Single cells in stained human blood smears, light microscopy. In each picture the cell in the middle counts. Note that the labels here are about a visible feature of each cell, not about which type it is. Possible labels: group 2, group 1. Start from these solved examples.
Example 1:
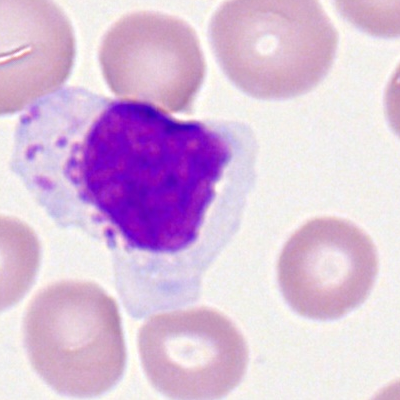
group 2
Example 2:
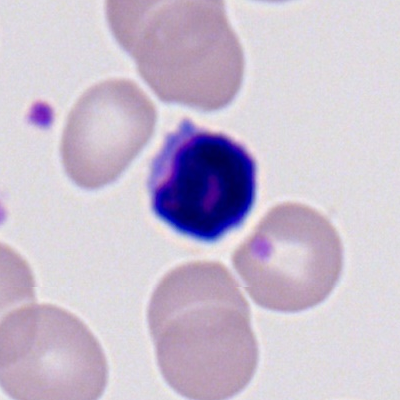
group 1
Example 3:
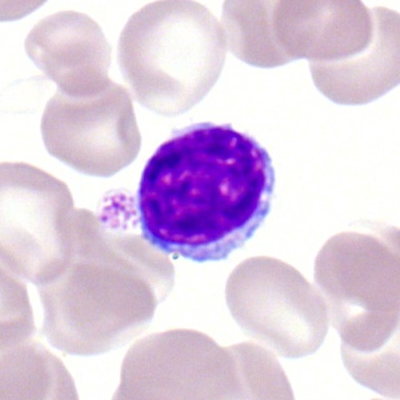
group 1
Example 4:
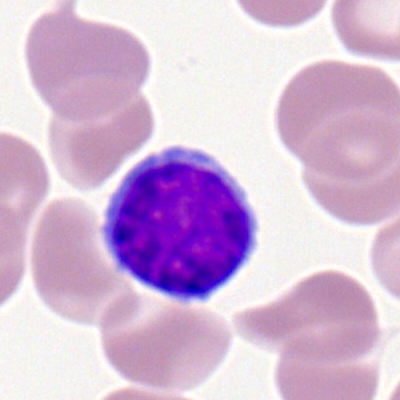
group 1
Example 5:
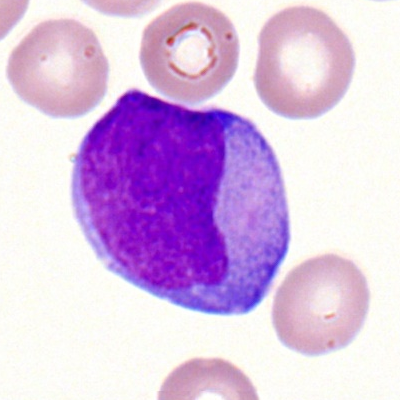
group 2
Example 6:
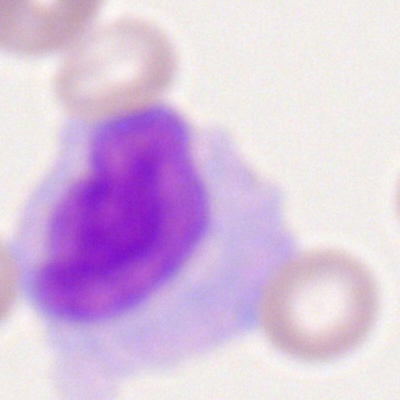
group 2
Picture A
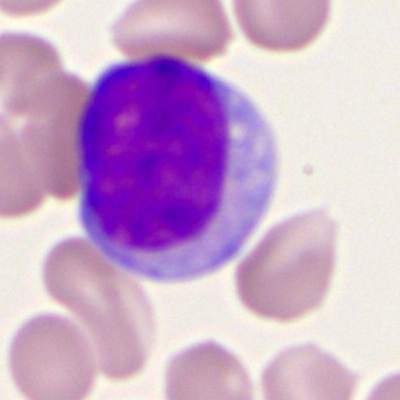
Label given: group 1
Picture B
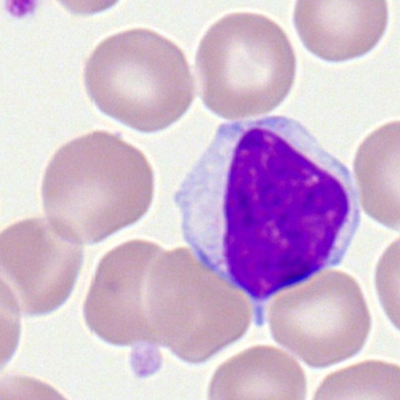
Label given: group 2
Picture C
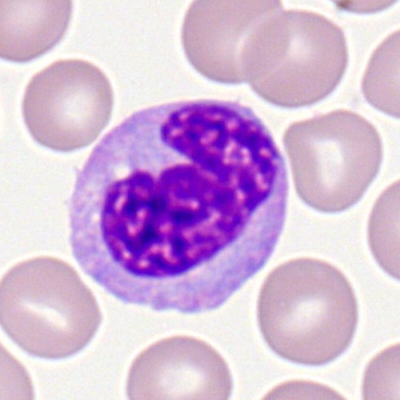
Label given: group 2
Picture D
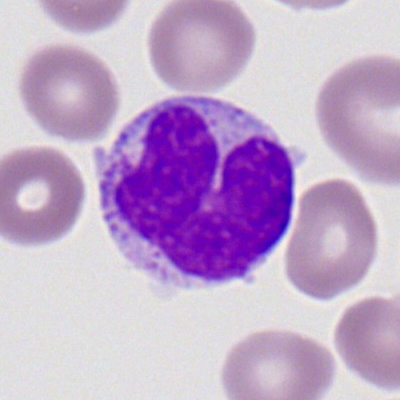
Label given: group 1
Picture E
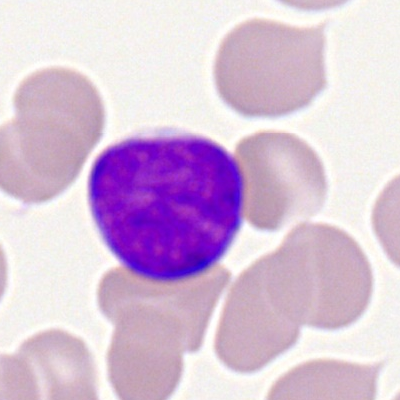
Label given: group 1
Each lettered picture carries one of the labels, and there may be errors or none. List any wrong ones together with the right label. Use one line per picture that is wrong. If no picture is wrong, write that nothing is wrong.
Nothing to fix; every label fits.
